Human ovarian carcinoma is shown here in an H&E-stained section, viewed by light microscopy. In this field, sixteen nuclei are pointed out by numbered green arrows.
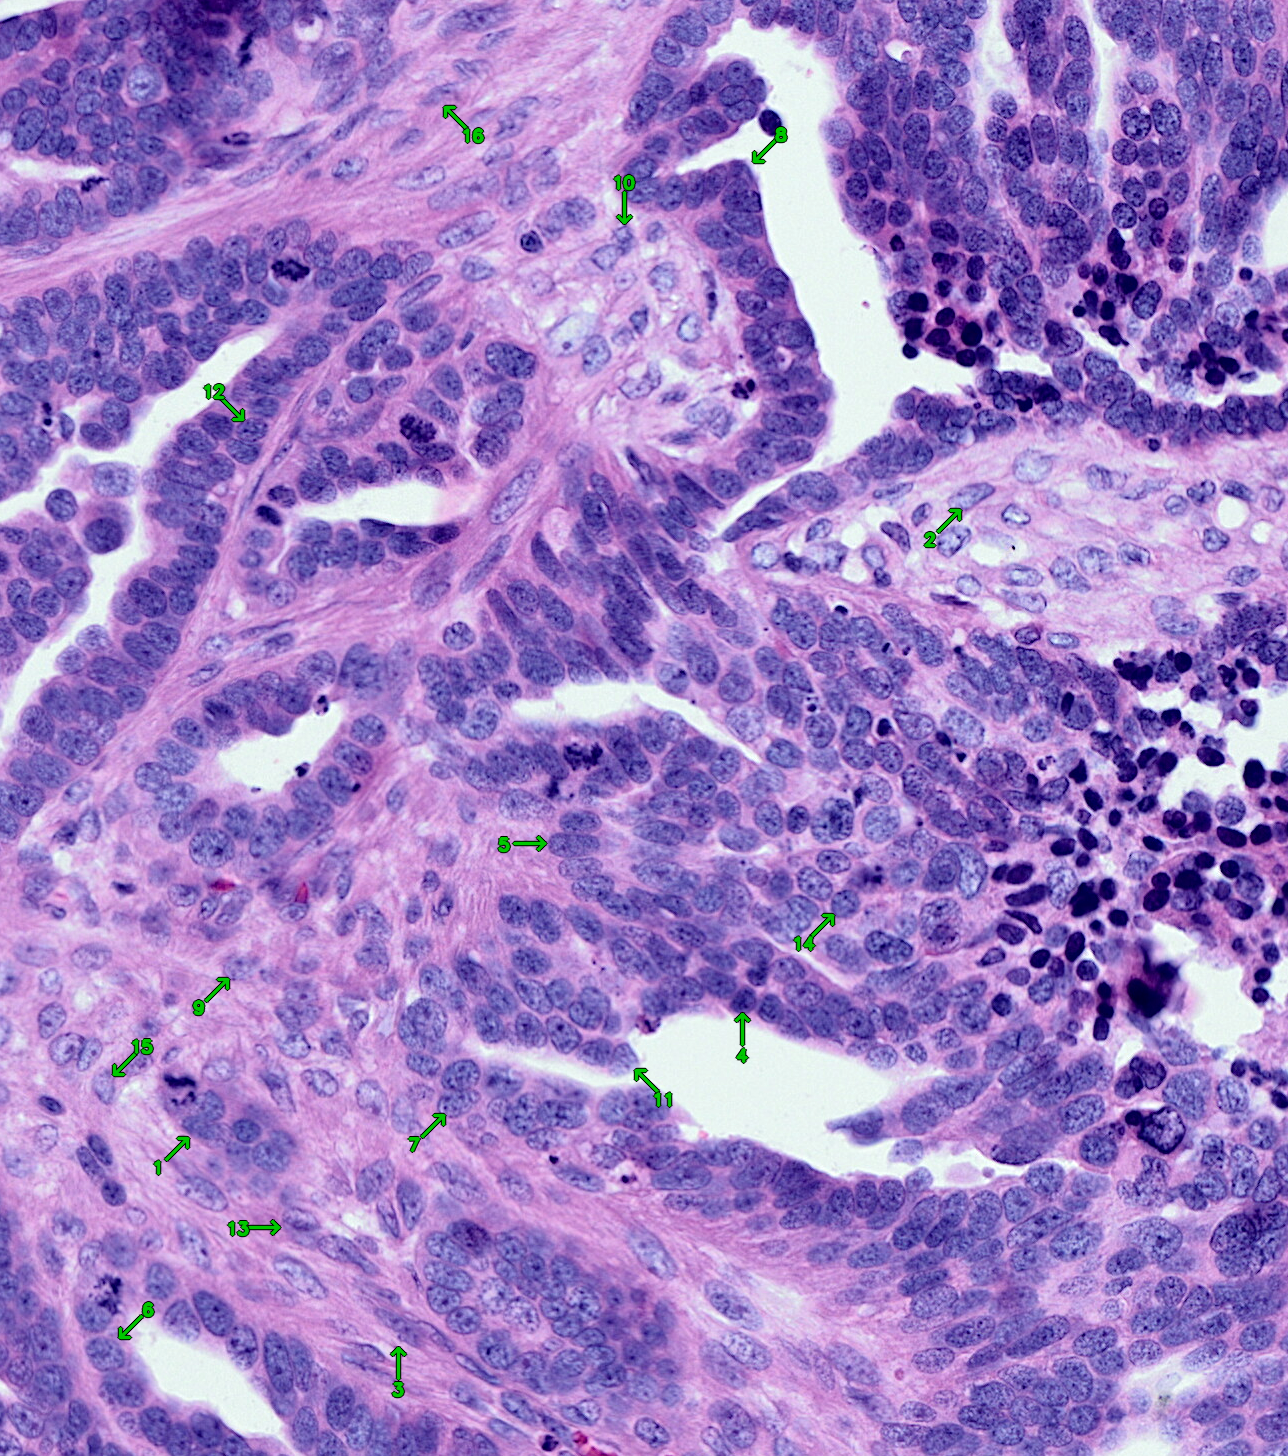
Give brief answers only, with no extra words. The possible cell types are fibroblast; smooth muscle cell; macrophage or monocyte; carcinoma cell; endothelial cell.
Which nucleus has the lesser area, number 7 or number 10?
10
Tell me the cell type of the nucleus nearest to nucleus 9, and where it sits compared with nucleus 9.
a fibroblast; to the right of nucleus 9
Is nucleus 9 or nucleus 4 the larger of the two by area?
9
